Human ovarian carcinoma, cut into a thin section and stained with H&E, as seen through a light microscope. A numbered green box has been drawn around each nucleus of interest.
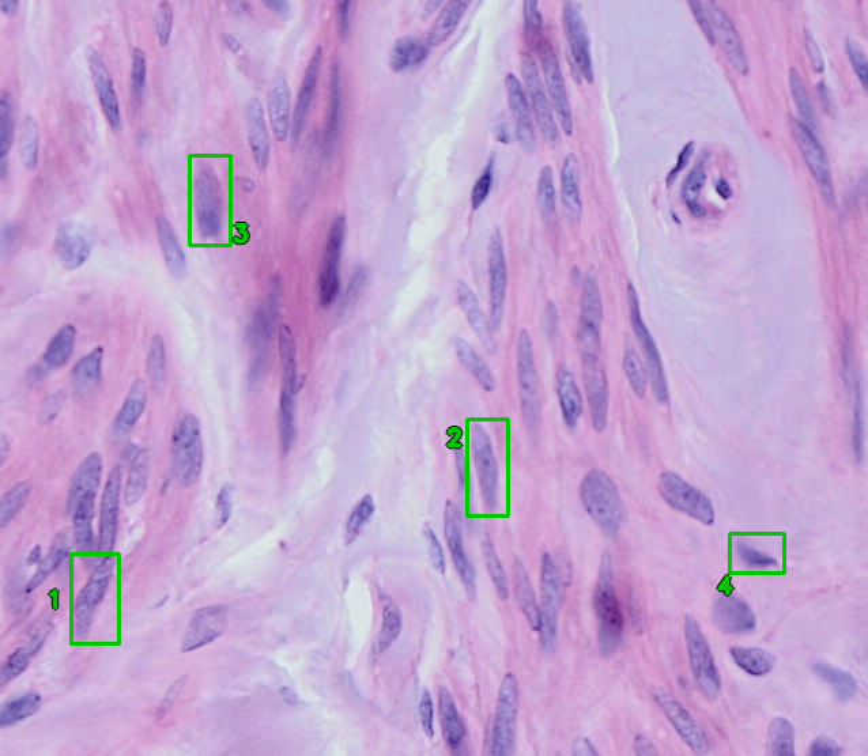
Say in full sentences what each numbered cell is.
Cells 1, 2 and 3 are smooth muscle cells. Cell 4 is a fibroblast.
